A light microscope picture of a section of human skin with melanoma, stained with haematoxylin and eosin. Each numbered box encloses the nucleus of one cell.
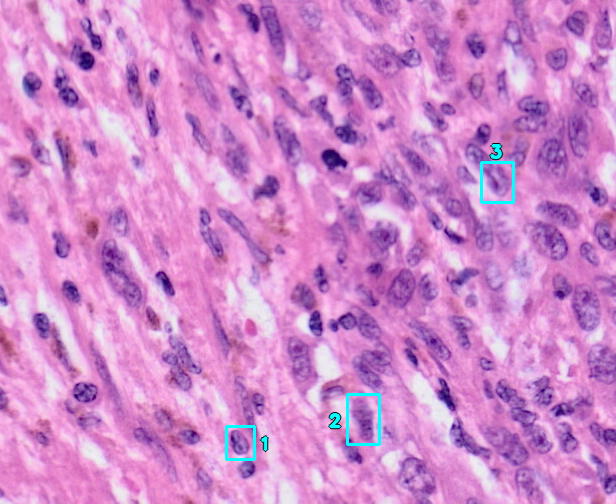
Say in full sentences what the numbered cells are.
Cell 1 is a lymphocyte. Cells 2 and 3 are melanoma cells.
